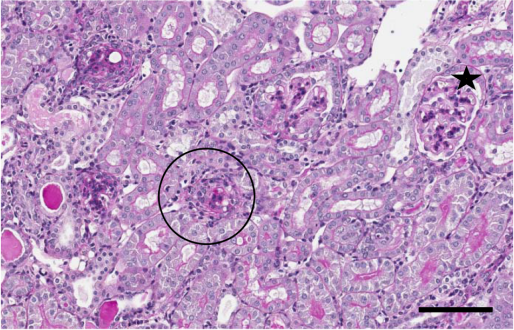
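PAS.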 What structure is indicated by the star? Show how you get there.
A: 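Beside the star lies a glomerulus with a lobulated tuft and open Bowman's space.
Answer: normal-appearing glomeruli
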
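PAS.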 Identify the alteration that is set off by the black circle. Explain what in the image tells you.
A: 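Sclerotic glomeruli. The circled glomerulus has a compact tuft with magenta matrix. Capillary lumens are scarce in it.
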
